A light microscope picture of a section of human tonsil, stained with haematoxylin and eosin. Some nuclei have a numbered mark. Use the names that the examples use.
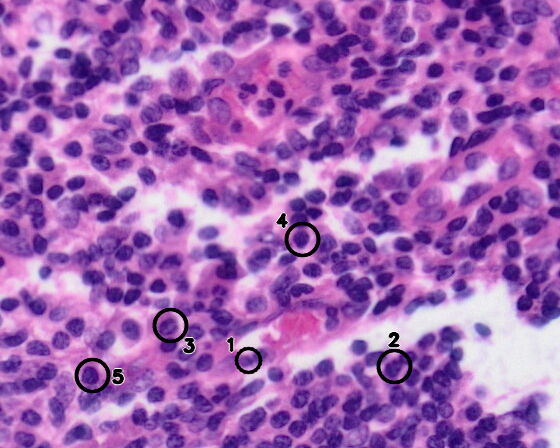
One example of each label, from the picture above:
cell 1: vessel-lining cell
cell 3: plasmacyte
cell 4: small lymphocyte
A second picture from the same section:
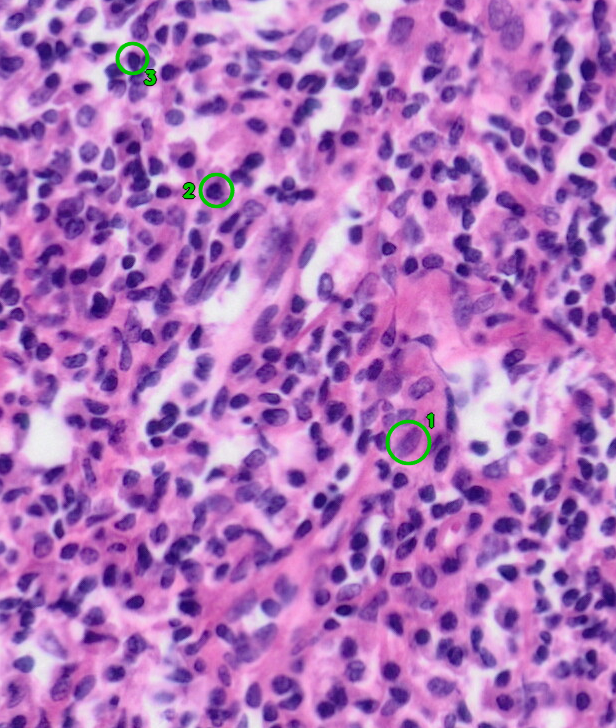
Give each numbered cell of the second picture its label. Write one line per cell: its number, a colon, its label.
1: vessel-lining cell
2: plasmacyte
3: small lymphocyte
